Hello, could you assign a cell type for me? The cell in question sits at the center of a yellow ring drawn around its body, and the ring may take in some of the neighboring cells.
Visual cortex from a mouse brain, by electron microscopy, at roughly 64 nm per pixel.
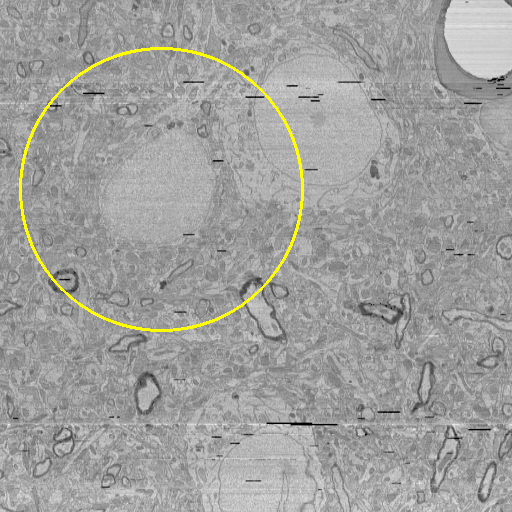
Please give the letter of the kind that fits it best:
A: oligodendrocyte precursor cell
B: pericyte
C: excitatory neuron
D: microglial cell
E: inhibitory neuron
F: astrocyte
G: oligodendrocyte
F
